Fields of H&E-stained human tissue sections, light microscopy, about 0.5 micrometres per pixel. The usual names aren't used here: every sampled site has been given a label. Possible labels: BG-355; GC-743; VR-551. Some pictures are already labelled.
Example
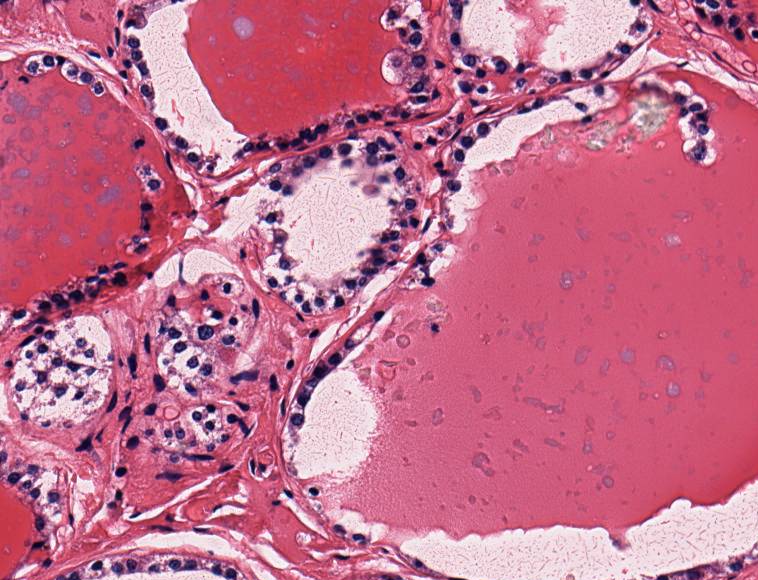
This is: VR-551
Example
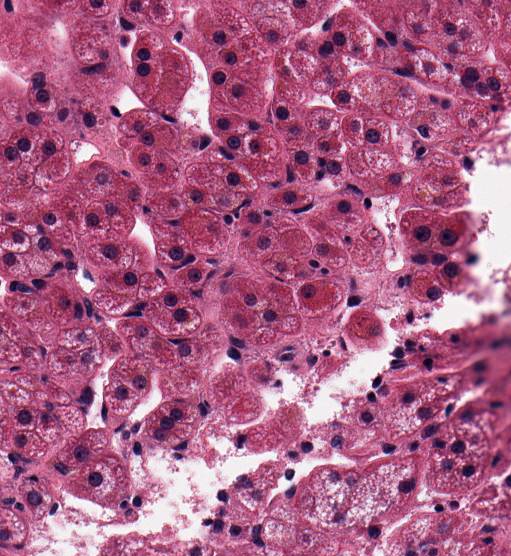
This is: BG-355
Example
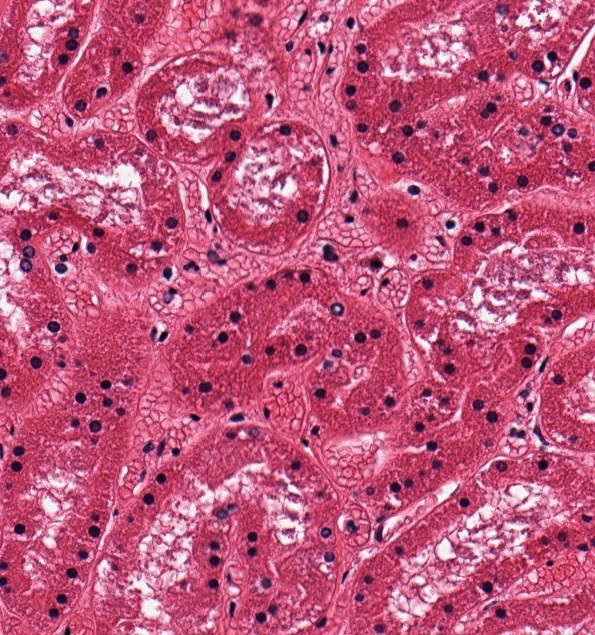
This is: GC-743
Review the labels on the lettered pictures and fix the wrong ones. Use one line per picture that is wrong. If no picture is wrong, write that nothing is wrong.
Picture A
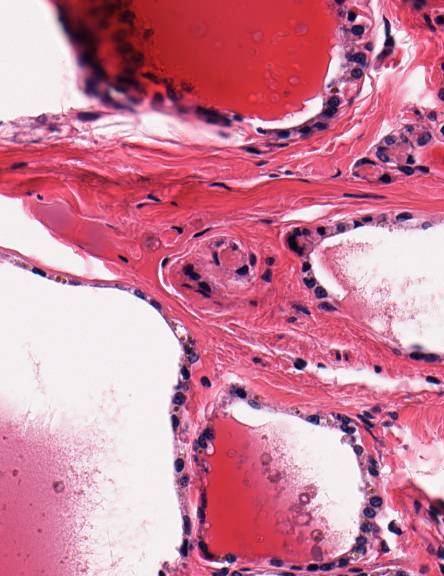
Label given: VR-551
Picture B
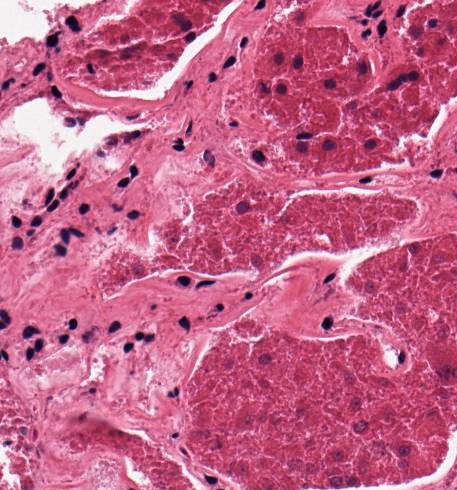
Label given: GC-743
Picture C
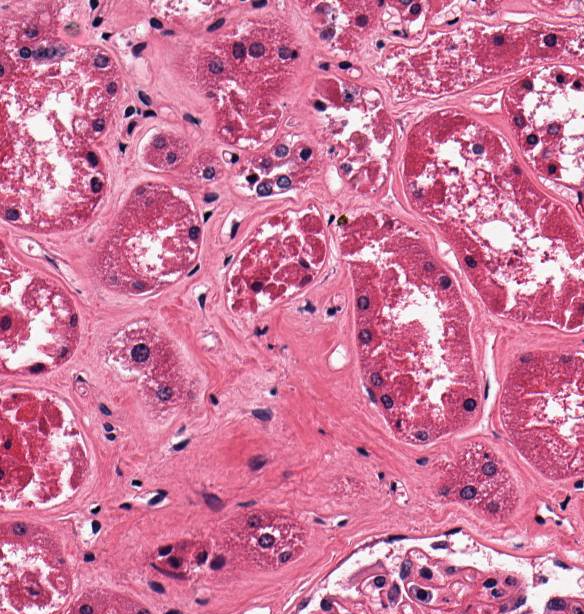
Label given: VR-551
C should be GC-743, not VR-551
